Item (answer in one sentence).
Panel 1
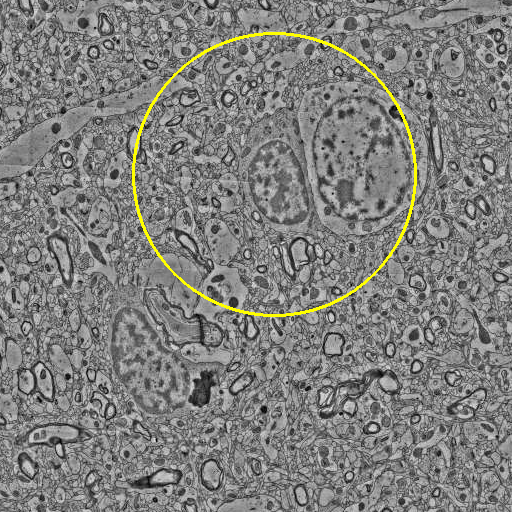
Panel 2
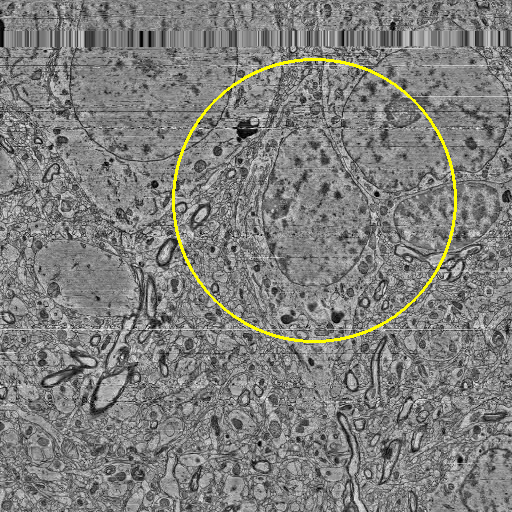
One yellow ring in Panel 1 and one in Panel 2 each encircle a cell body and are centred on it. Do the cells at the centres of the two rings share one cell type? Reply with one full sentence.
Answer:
No, Panel 1 and Panel 2 show cells of two types at the centres of their rings.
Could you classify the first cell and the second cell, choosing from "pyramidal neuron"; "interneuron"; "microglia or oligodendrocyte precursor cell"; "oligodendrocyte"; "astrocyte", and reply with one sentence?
The second cell is an interneuron, while the first is an oligodendrocyte.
